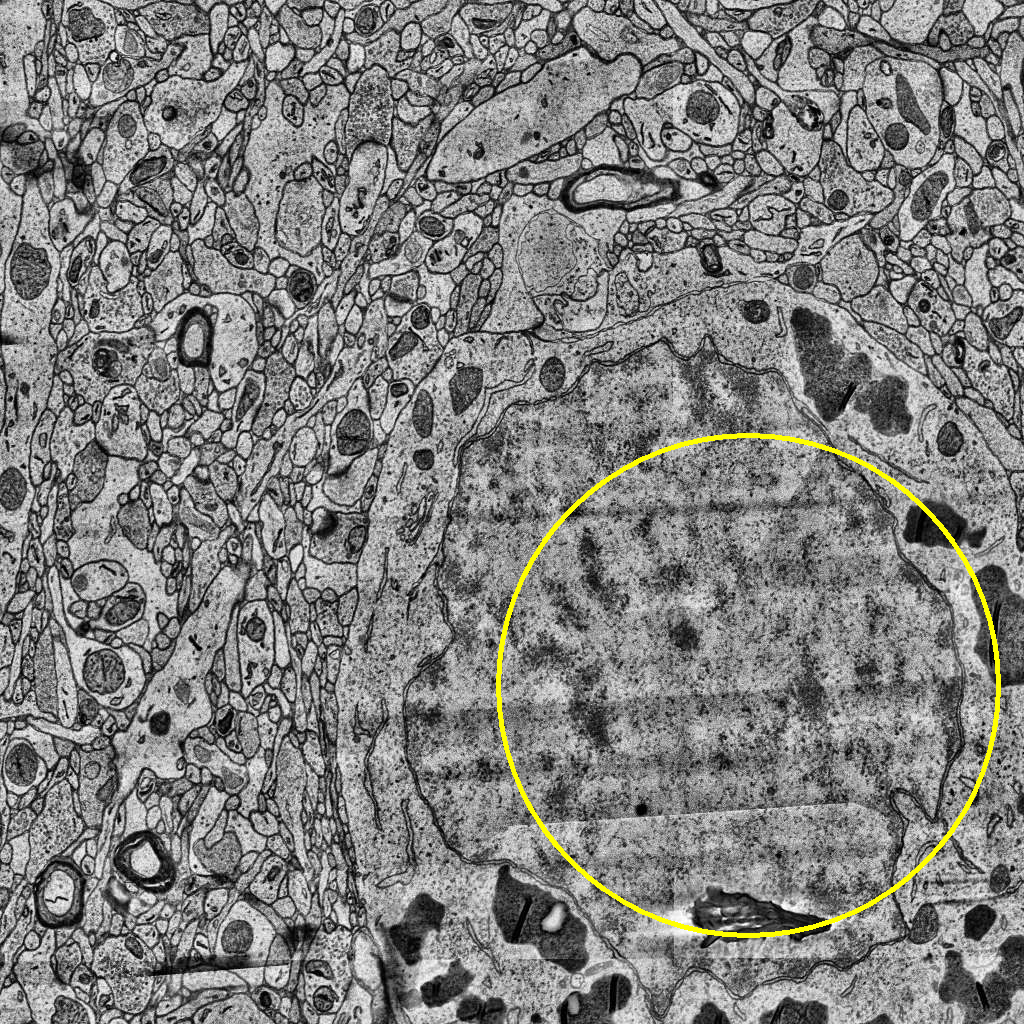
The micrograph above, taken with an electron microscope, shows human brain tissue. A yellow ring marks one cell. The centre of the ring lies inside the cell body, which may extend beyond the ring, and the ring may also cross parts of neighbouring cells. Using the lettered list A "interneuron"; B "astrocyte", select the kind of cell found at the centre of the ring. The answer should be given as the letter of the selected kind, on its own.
A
